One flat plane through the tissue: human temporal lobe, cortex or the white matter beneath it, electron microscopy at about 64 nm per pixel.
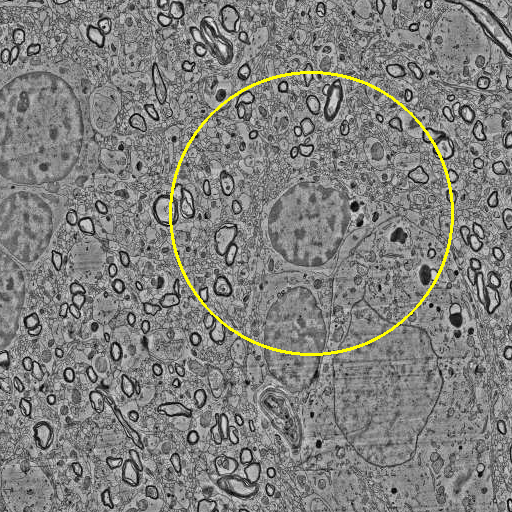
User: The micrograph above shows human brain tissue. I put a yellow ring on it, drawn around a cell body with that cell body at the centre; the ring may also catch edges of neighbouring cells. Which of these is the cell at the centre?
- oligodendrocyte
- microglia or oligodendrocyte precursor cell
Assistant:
microglia or oligodendrocyte precursor cell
